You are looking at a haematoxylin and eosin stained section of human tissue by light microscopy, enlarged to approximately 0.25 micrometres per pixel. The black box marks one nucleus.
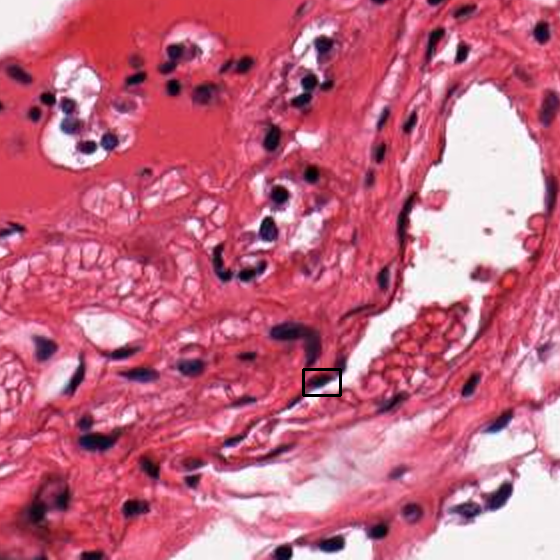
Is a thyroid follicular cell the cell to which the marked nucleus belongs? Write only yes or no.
no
